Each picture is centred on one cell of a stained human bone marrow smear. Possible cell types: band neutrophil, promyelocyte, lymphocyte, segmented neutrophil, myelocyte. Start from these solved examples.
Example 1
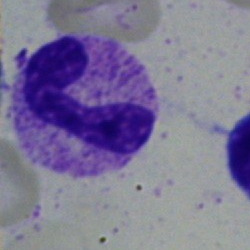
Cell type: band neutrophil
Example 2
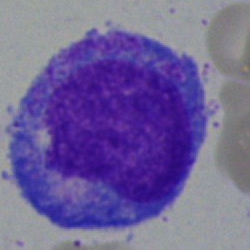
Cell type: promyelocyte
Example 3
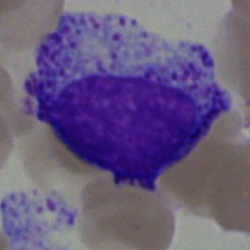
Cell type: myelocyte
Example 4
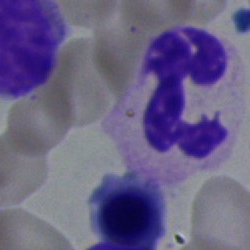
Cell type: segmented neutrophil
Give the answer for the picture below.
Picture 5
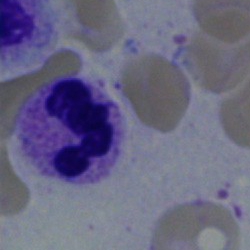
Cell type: segmented neutrophil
